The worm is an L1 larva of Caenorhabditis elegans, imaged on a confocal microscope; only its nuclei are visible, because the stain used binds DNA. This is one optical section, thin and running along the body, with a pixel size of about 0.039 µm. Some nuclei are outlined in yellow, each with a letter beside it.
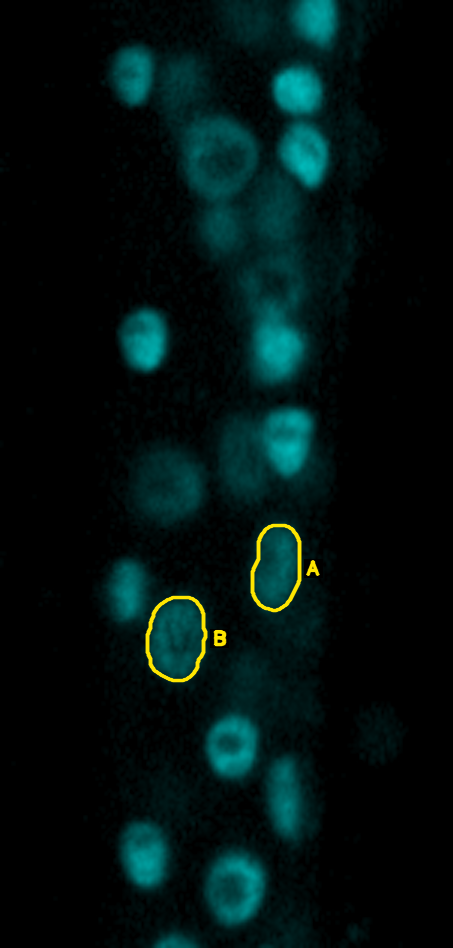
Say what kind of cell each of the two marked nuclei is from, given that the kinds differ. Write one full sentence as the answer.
Nucleus A comes from a P cell (ventral epidermal blast cell) and nucleus B from a hypodermal cell (hyp).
